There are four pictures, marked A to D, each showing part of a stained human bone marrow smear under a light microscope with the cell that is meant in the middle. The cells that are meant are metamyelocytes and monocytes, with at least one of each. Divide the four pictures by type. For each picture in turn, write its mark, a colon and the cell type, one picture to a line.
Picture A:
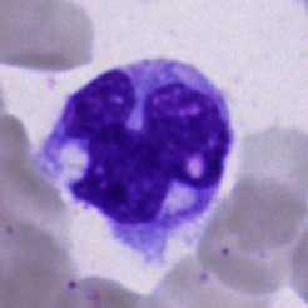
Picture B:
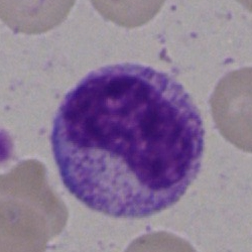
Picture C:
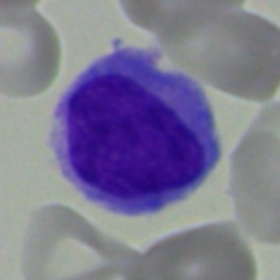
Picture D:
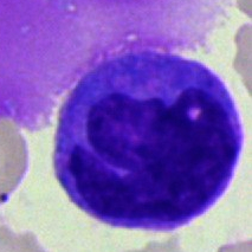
A: monocyte
B: metamyelocyte
C: monocyte
D: monocyte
